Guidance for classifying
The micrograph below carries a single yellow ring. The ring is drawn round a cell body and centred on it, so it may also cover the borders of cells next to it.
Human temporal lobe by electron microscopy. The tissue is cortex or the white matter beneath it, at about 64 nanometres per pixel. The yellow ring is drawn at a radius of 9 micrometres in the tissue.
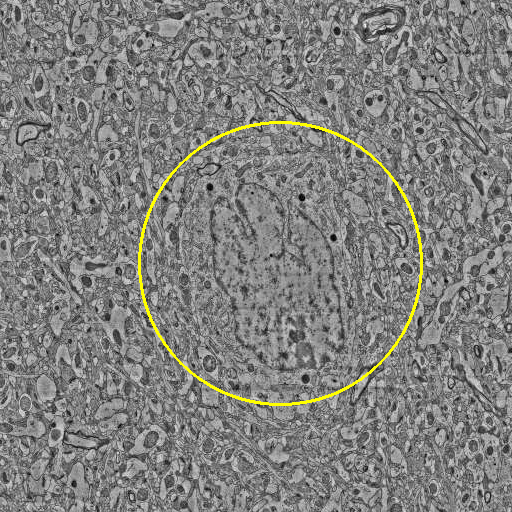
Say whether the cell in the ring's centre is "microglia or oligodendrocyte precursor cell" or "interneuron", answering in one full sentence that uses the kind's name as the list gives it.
Within the yellow ring, an interneuron is the cell whose body sits at the centre.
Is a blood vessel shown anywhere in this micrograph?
No, there is no blood vessel in the image.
